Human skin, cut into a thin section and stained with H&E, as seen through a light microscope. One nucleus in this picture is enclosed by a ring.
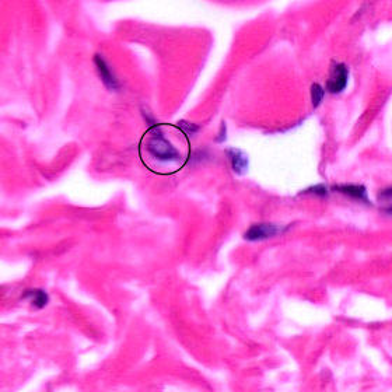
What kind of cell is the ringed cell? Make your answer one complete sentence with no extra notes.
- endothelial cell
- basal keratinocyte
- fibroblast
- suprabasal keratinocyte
So far as cell type goes, the ringed cell is an endothelial cell.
